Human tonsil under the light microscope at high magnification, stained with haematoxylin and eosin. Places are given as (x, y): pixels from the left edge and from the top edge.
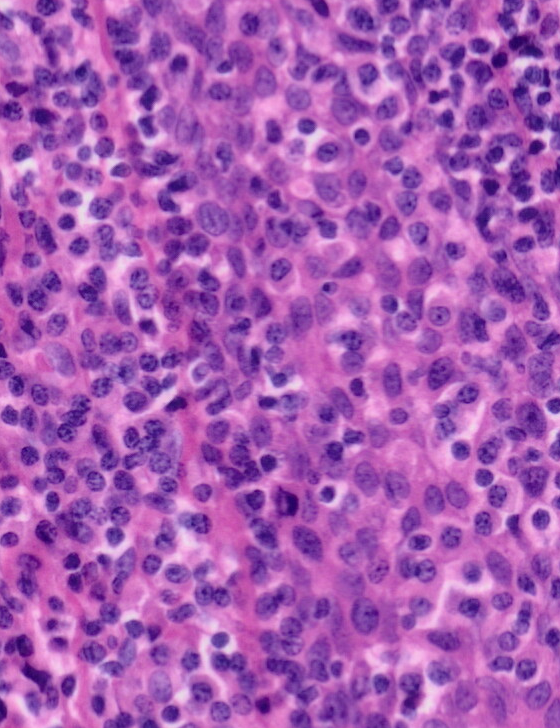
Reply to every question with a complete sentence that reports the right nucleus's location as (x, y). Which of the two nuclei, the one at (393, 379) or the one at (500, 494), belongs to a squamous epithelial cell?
Lying within a squamous epithelial cell is the nucleus at (393, 379).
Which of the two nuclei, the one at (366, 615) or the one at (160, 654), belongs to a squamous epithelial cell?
The nucleus at (366, 615) is identified as belonging to a squamous epithelial cell.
